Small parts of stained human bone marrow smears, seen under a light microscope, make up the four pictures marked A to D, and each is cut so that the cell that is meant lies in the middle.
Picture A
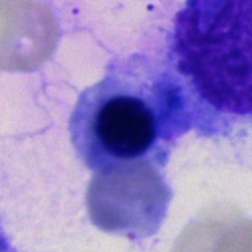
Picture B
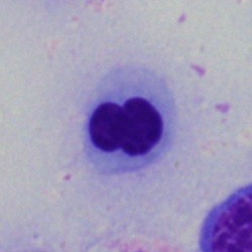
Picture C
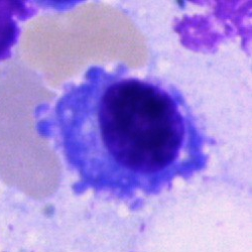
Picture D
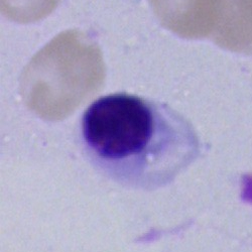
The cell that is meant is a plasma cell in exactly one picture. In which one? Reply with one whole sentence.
It is picture C that shows the plasma cell.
